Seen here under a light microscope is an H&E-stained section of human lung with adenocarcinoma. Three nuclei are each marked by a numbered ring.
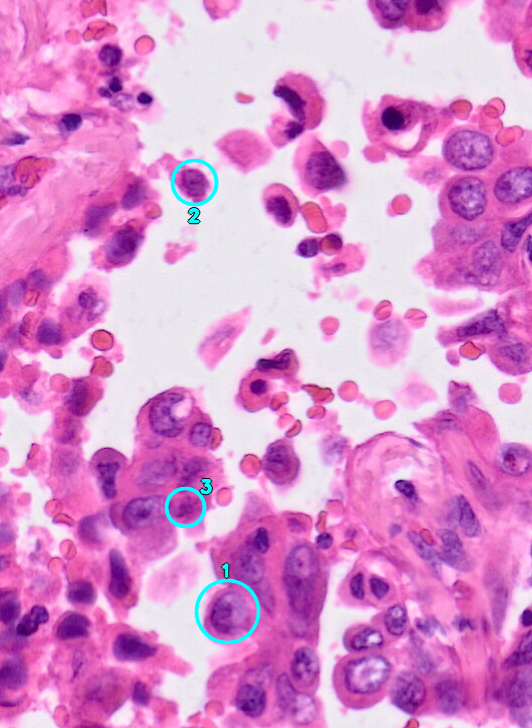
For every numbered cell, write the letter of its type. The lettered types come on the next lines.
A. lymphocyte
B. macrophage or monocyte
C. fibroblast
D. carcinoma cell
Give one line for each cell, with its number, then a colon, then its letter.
1: D
2: B
3: D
